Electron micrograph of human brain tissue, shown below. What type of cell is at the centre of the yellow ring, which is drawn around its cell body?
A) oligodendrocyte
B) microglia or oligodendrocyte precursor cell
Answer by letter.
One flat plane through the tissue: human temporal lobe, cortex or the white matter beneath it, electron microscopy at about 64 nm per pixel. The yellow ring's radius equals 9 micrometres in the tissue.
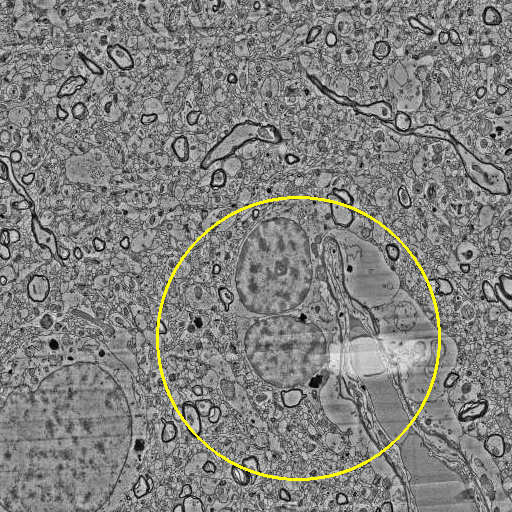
A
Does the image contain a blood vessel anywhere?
Yes.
